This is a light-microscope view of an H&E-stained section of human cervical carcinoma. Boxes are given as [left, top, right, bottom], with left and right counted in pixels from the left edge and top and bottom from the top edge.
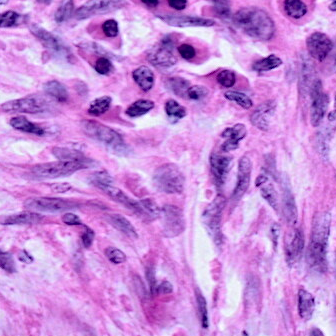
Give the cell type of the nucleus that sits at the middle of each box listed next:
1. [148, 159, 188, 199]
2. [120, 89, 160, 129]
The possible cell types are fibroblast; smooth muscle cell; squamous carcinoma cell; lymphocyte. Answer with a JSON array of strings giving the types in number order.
["fibroblast", "lymphocyte"]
